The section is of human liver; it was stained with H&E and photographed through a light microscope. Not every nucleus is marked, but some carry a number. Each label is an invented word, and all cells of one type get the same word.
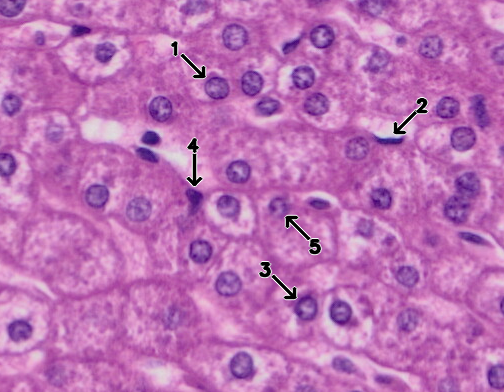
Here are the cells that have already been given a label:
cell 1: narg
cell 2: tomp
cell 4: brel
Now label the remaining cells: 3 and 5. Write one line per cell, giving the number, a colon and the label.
3: narg
5: narg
